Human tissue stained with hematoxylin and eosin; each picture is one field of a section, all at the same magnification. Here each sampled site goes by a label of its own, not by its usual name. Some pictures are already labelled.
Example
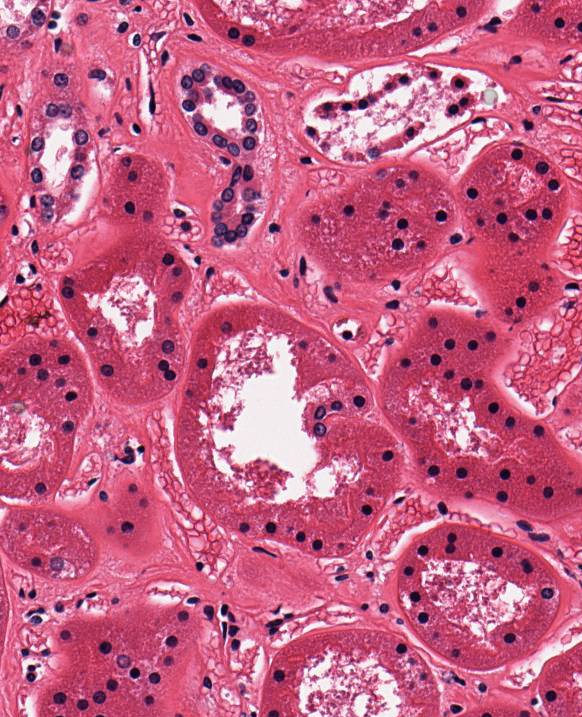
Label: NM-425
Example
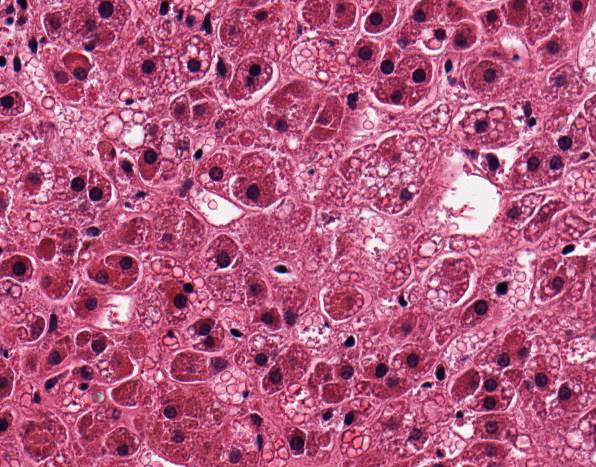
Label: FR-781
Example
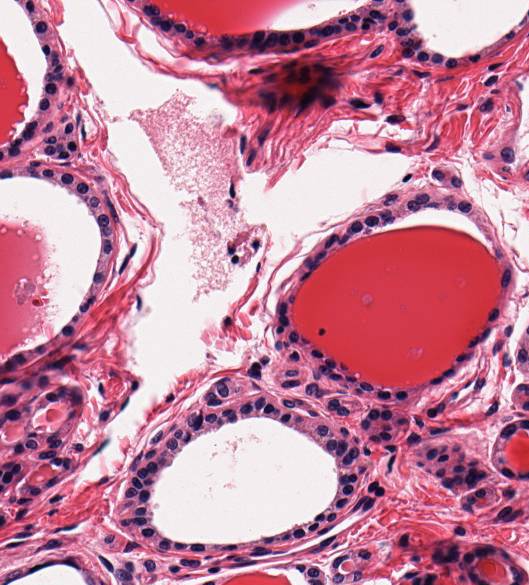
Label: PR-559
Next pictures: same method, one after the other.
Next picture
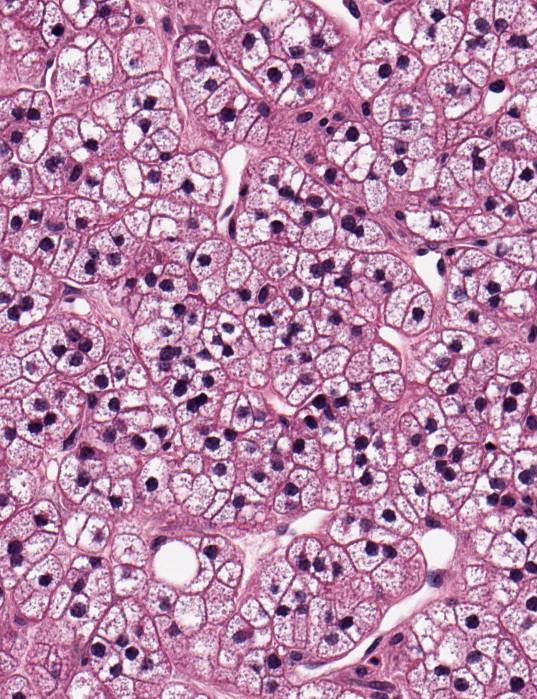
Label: FR-781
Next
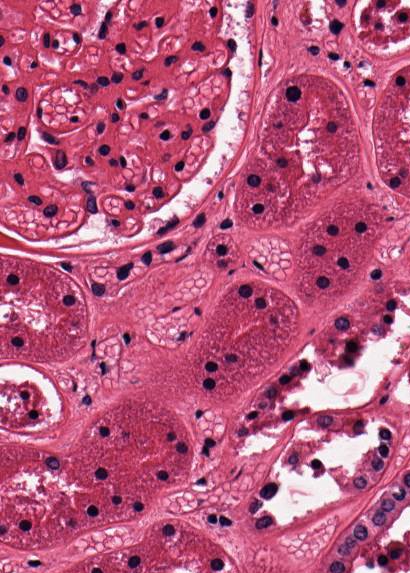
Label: NM-425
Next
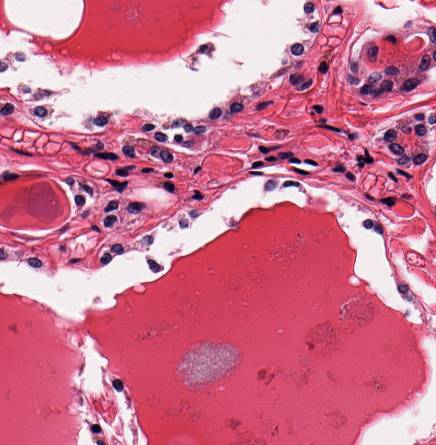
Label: PR-559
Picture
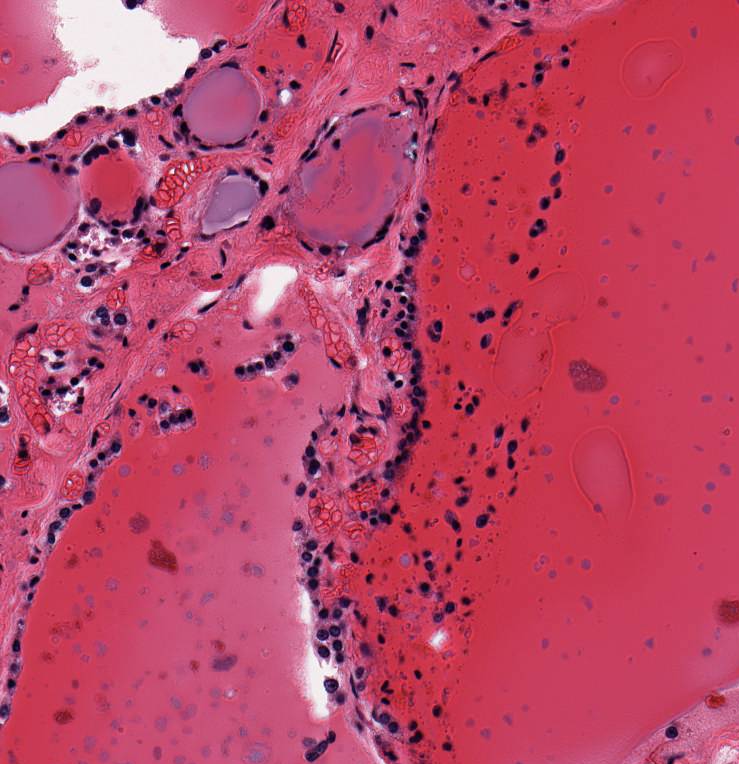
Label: PR-559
